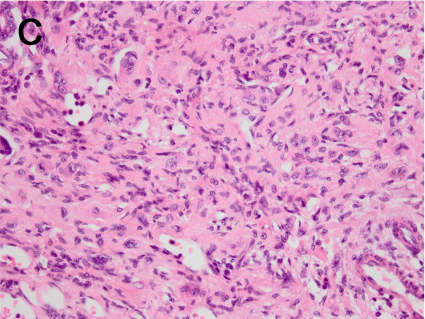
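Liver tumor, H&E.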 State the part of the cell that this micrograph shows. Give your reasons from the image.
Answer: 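Tumor cells have pink cytoplasm around their nuclei.
Hence: moderate amounts of eosinophilic cytoplasm.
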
